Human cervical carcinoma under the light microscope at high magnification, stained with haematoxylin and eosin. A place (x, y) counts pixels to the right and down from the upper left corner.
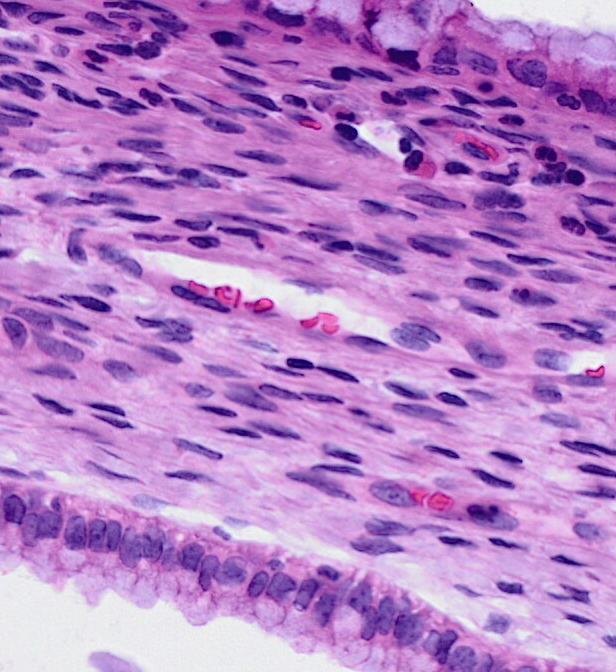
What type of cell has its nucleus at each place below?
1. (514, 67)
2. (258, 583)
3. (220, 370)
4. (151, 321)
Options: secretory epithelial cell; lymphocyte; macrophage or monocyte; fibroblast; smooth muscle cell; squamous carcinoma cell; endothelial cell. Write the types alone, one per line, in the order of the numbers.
secretory epithelial cell
secretory epithelial cell
fibroblast
fibroblast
